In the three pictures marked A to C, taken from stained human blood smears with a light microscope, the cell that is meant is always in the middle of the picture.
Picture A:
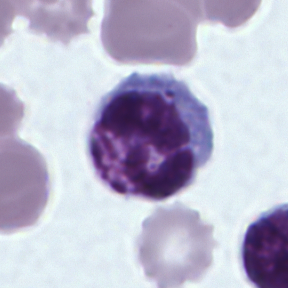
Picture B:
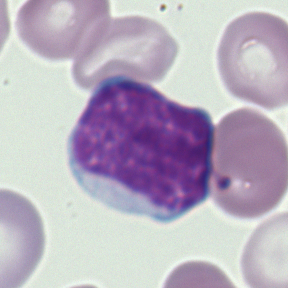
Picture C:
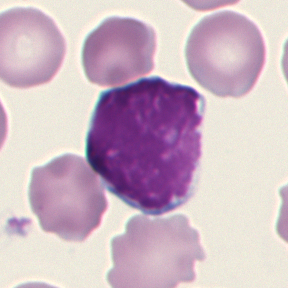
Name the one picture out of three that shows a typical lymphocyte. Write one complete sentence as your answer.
It is picture C that shows the typical lymphocyte.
